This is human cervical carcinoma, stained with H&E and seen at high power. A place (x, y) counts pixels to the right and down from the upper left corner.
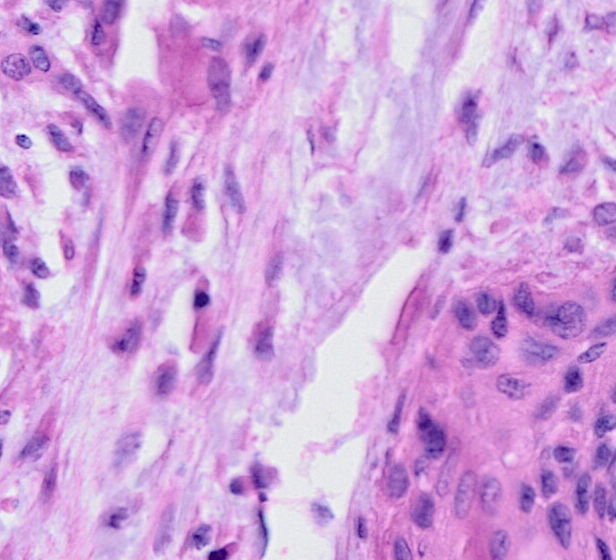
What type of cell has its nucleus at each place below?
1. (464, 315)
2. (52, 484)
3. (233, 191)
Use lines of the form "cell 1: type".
cell 1: squamous carcinoma cell
cell 2: fibroblast
cell 3: fibroblast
